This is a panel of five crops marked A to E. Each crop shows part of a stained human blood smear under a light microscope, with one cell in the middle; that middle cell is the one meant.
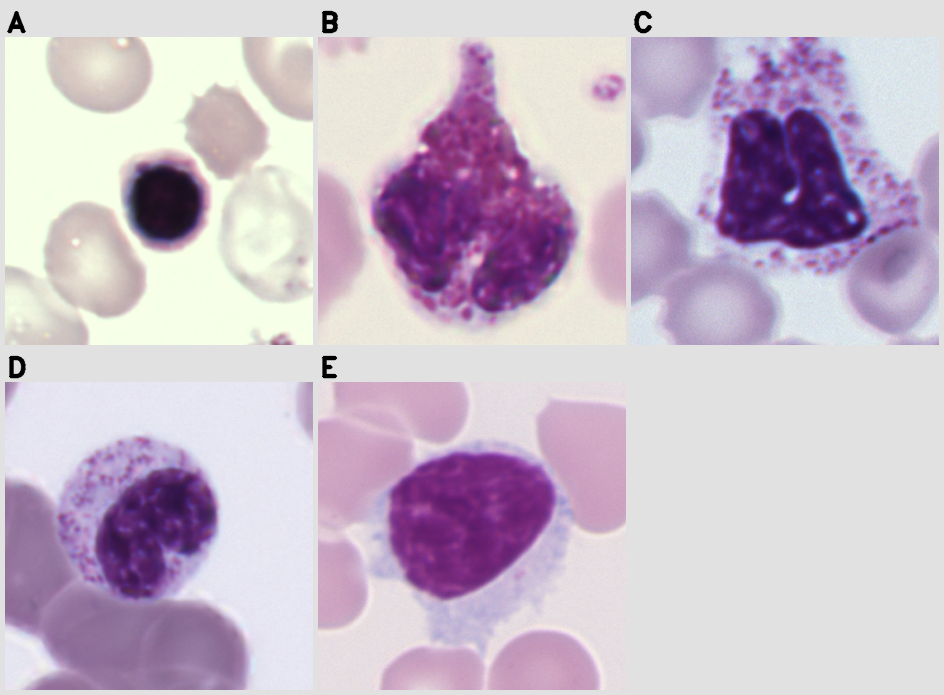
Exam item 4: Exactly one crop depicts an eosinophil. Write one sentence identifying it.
Among all the crops given here, the one with an eosinophil is crop B.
